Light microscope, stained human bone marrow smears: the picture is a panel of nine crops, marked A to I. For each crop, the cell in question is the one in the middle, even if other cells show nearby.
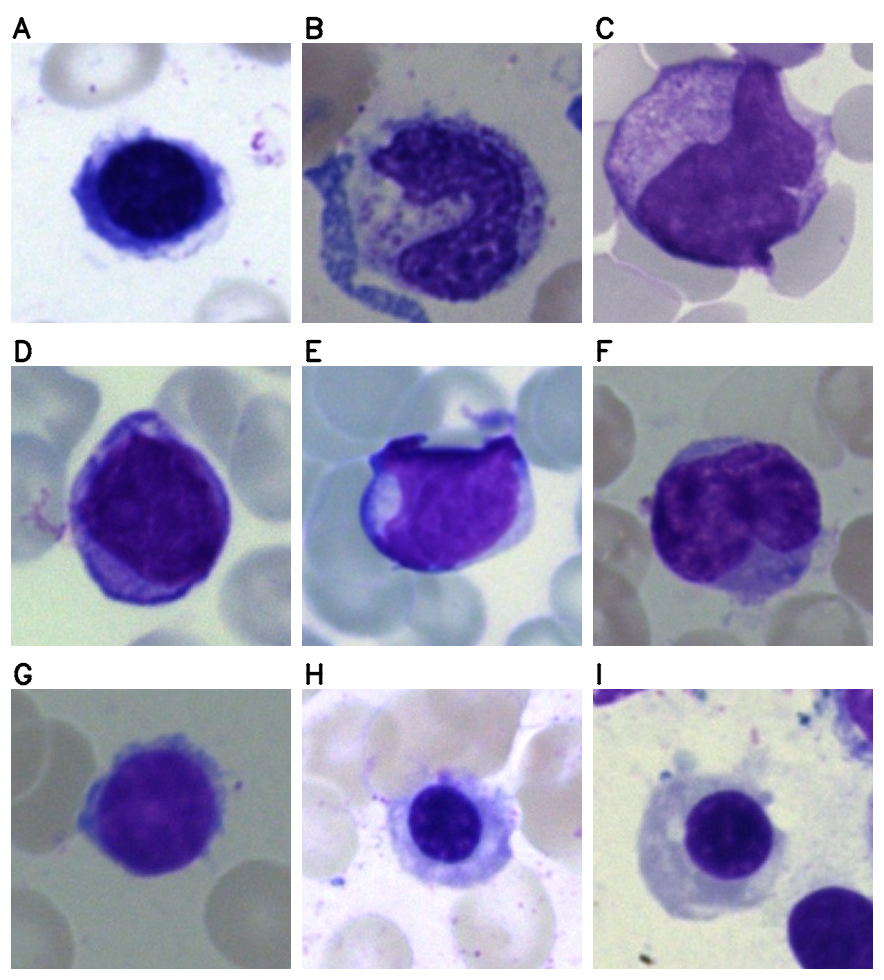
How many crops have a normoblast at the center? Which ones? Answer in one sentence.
Of the crops, those showing normoblasts are A, H and I, three altogether.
